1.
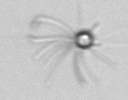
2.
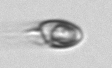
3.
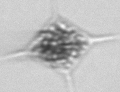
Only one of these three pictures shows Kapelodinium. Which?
Picture 2.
